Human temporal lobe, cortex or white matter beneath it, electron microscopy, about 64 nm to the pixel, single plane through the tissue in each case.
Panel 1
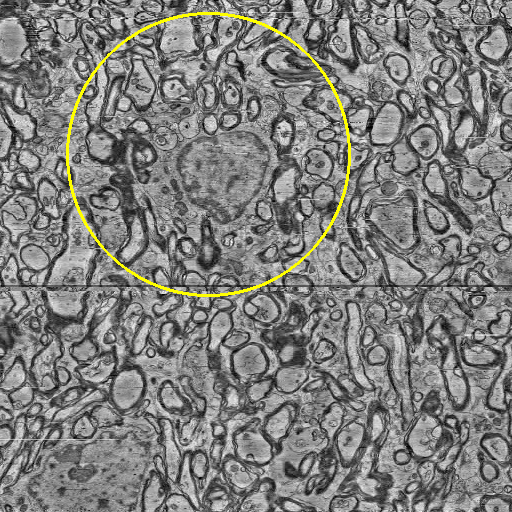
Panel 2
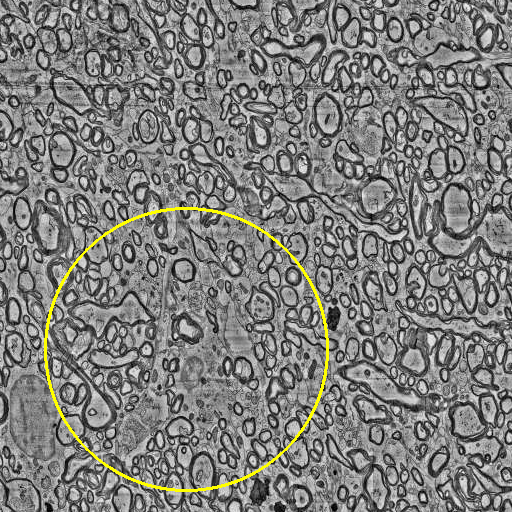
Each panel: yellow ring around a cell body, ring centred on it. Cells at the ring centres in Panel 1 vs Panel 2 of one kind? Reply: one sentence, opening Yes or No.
Yes, Panel 1 and Panel 2 have cells of one kind at the ring centres.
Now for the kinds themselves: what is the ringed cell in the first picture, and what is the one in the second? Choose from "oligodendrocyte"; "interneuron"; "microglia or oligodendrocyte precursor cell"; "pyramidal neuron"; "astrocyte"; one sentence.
In both pictures the ring is centred on an oligodendrocyte.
